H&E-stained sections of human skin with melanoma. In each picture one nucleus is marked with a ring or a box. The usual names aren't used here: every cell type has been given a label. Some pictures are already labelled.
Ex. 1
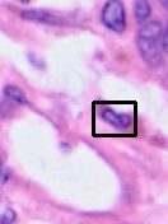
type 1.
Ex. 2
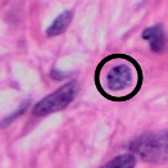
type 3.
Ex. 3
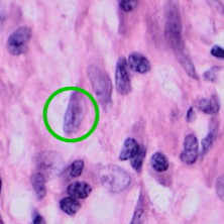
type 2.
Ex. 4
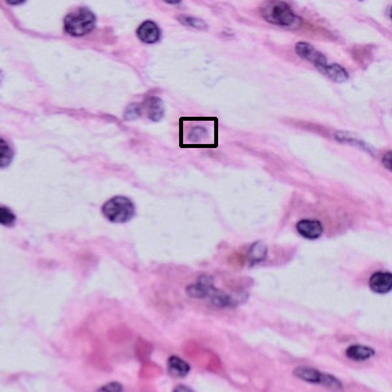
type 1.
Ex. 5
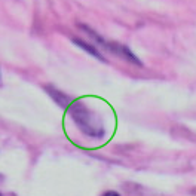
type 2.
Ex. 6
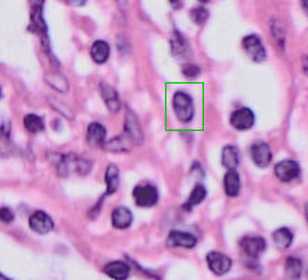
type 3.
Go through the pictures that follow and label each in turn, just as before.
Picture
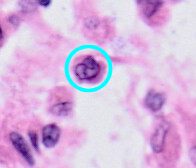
type 1.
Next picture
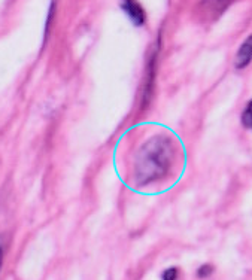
type 2.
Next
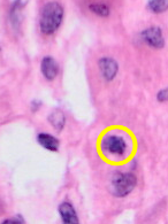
type 3.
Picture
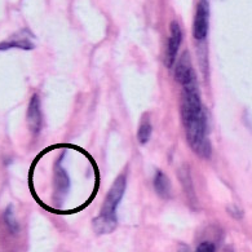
type 2.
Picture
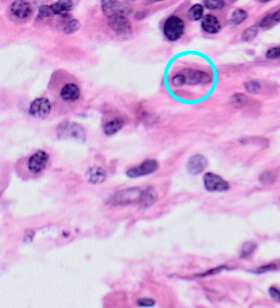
type 1.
